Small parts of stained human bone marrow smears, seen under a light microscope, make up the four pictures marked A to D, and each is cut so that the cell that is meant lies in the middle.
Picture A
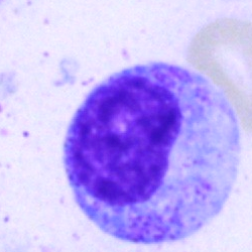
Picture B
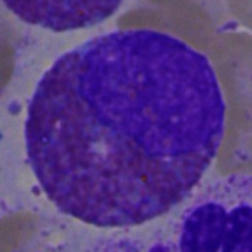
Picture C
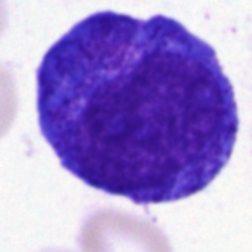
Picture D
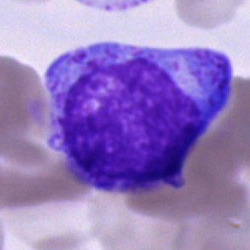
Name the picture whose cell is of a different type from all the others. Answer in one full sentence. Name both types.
Picture B is the odd one out: it shows an eosinophil, while the others show promyelocytes.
